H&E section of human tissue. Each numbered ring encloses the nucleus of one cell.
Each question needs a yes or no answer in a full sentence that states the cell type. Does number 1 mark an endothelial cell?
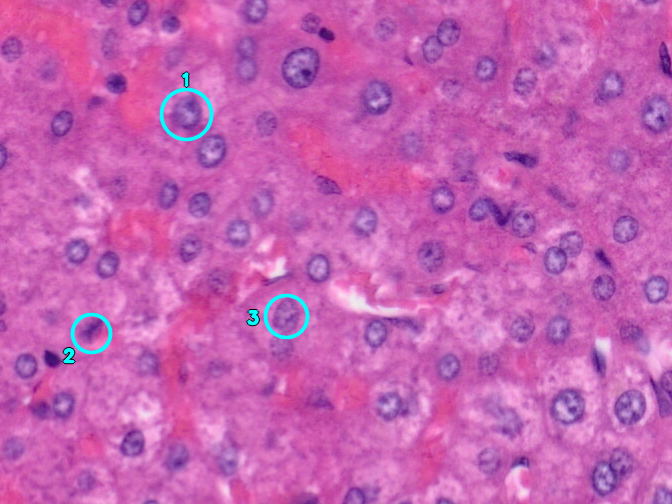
No, the cell at marker 1 is not an endothelial cell; it is a hepatocyte.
